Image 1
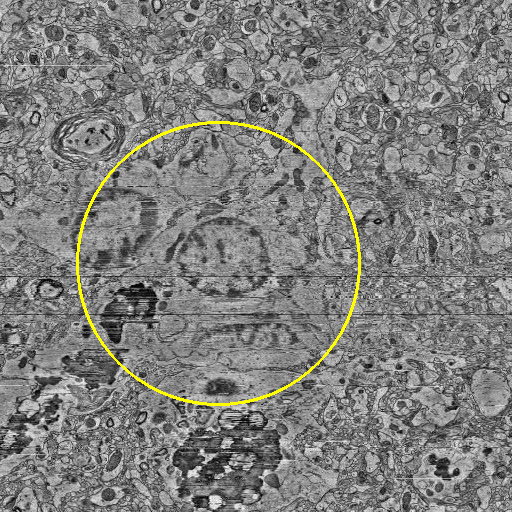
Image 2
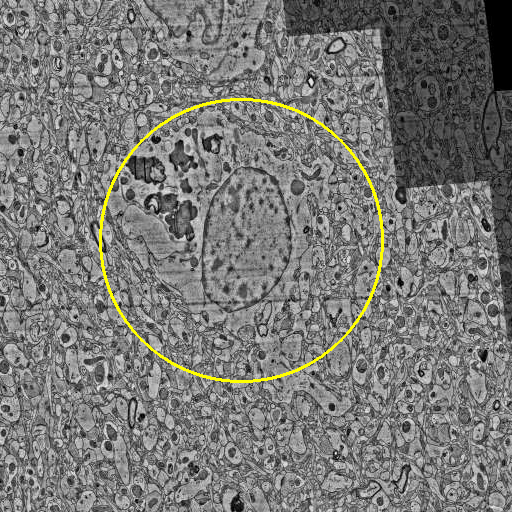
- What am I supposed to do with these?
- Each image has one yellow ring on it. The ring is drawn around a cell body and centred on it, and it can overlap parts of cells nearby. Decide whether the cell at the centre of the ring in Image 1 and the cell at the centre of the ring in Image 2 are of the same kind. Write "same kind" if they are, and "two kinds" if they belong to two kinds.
same kind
